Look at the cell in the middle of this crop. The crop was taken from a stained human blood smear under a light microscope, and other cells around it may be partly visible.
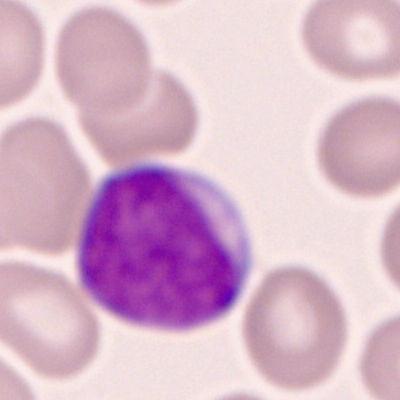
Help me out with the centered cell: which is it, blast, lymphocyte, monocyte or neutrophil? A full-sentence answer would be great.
The cell centred in this crop is categorized as a blast.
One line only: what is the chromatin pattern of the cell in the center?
What stands out is chromatin that is coarsely clumped.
